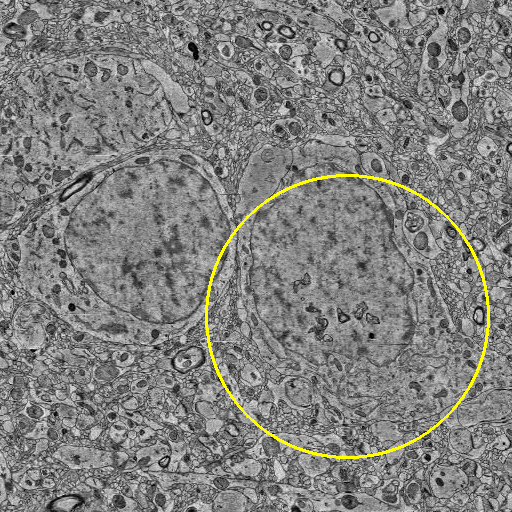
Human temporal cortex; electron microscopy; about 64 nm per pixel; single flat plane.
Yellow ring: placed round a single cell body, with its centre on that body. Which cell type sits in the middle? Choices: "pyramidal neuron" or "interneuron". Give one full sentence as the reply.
It is an interneuron whose cell body sits at the centre of the yellow ring.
